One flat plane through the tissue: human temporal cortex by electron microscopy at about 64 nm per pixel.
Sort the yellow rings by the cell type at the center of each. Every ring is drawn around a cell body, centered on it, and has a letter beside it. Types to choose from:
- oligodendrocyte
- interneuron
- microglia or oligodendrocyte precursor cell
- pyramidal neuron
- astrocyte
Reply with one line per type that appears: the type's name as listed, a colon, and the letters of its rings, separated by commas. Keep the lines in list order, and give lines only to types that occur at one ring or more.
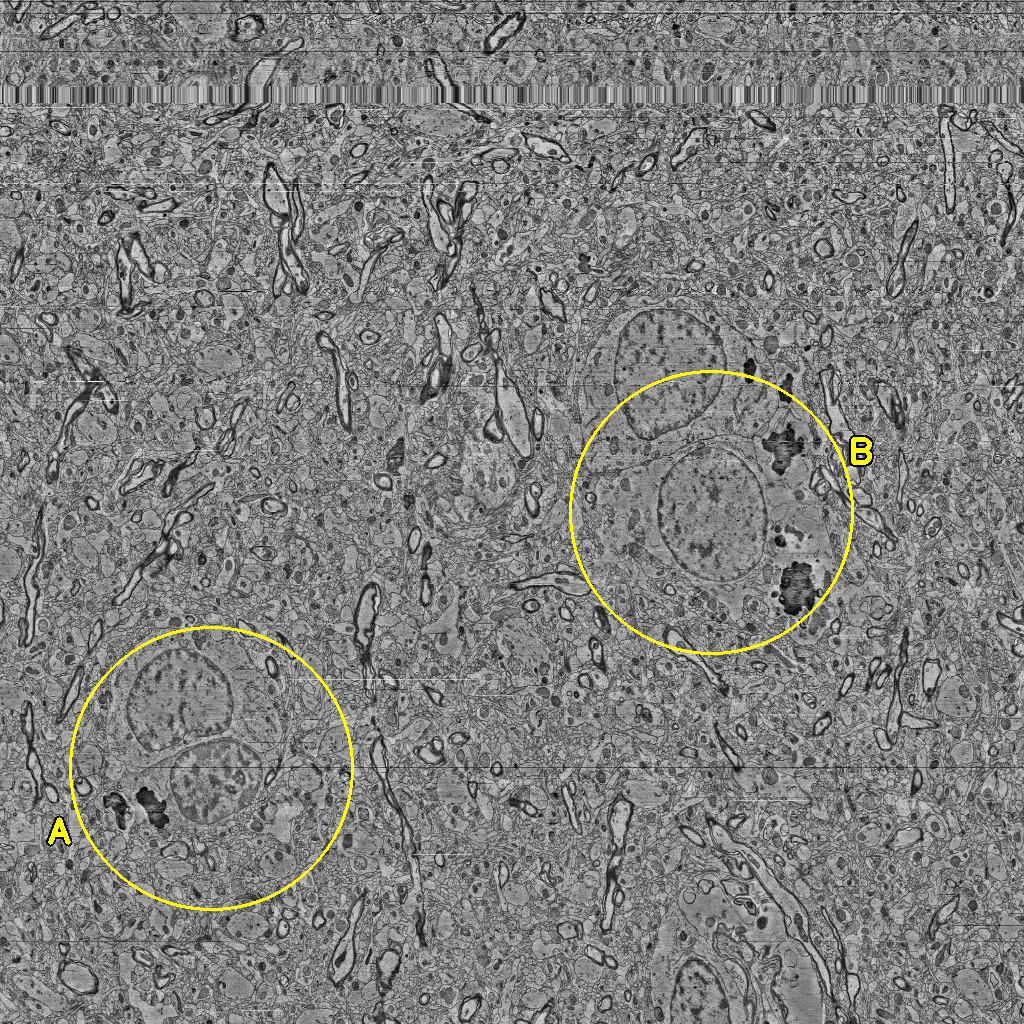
oligodendrocyte: A
astrocyte: B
